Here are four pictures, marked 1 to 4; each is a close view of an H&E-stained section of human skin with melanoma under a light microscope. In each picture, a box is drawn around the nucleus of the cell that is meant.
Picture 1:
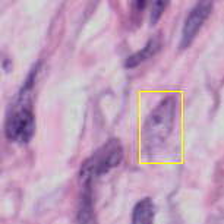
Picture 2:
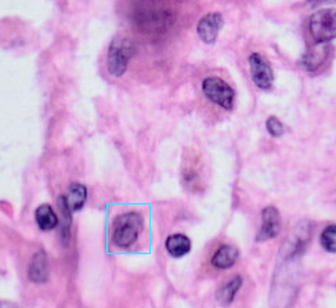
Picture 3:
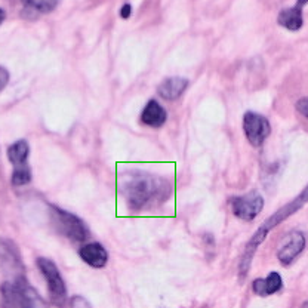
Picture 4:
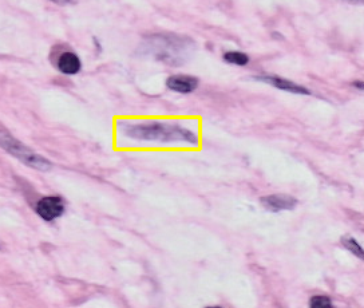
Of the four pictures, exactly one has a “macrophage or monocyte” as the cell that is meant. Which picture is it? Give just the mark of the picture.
2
